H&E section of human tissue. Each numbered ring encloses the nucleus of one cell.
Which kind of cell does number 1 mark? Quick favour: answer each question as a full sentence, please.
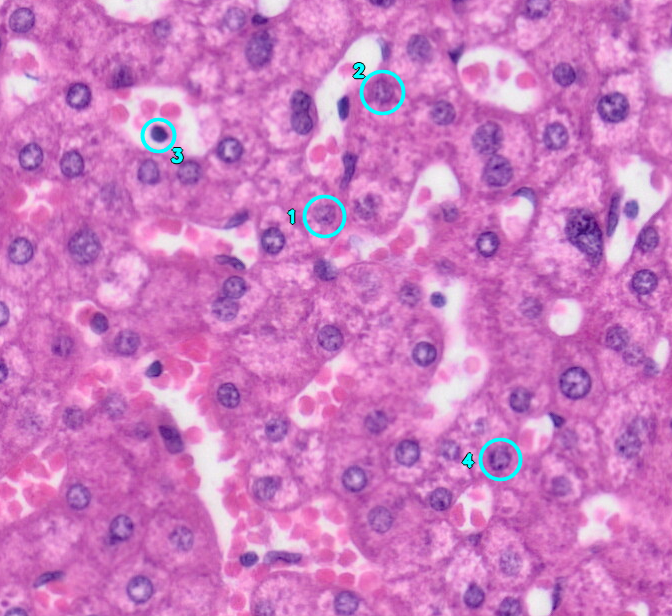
Marked with the number 1, this cell is a hepatocyte.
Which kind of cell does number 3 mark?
Cell 3 in the field is a lymphocyte.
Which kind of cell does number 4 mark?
The cell numbered 4 has been identified as a hepatocyte.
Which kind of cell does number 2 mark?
The marked cell bearing number 2 is a hepatocyte.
